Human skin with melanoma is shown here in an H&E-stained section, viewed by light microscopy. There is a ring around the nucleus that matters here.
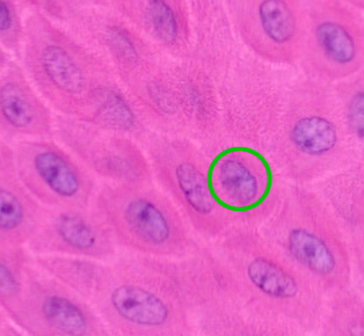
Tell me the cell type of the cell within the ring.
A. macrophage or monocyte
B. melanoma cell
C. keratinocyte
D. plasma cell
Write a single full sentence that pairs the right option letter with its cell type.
The correct option is C, as the cell within the ring is a keratinocyte.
